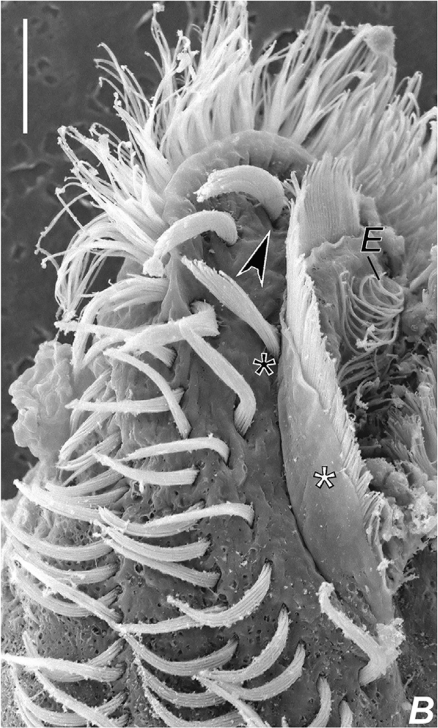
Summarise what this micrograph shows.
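Here the anterior ventral surface of a hypotrich ciliate is seen by scanning electron microscopy. Long membranellar cilia form a dense fringe at the front. A smooth, elongate oral lip borders the oral depression, inside which a band of finer cilia belonging to the undulating membranes can be made out. Thick curved cirri, each made of many fused cilia, stand in several rows over the ventral surface; a stout frontal cirrus sits near the front beside the oral area, and a single buccal cirrus lies next to the lip. The pellicle is finely pitted.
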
